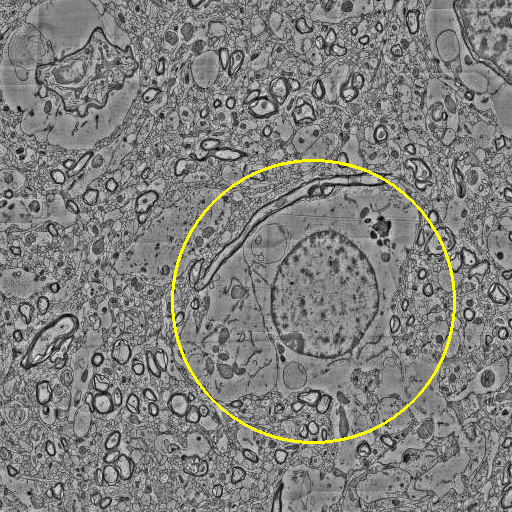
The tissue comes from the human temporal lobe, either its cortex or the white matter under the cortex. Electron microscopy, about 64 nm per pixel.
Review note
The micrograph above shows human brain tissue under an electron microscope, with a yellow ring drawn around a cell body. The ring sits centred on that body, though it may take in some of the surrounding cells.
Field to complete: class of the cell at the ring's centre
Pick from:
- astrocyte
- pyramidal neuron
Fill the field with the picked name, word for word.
astrocyte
